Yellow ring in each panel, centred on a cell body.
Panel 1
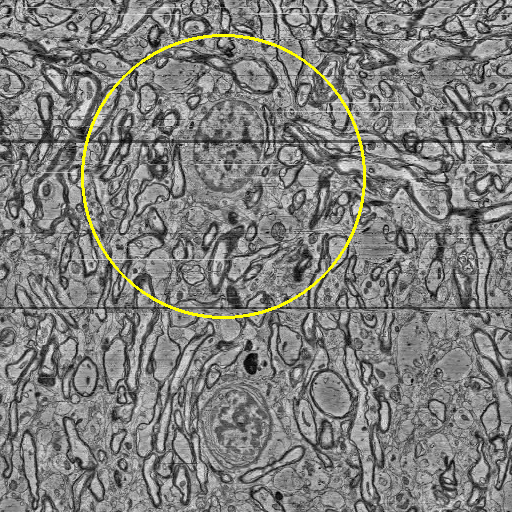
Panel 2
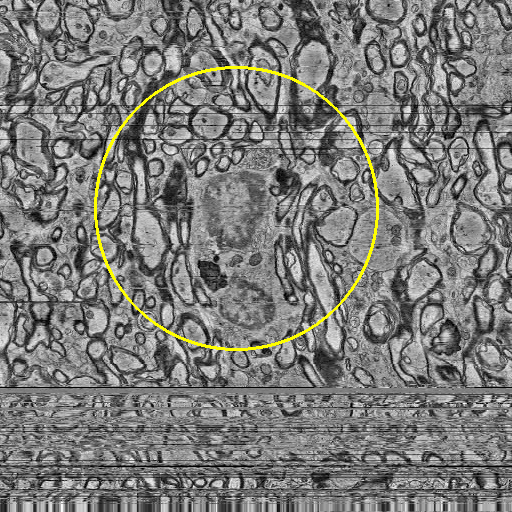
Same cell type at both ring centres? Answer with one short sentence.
Yes, both cells are of the same type.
